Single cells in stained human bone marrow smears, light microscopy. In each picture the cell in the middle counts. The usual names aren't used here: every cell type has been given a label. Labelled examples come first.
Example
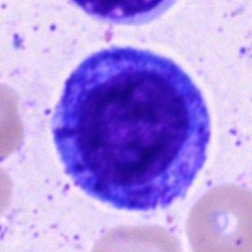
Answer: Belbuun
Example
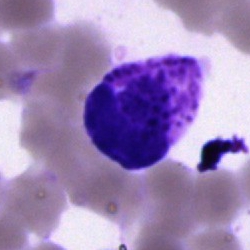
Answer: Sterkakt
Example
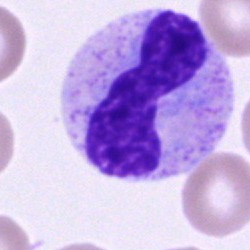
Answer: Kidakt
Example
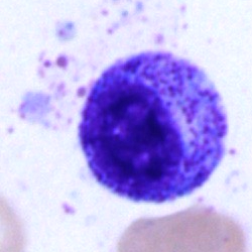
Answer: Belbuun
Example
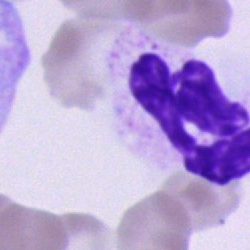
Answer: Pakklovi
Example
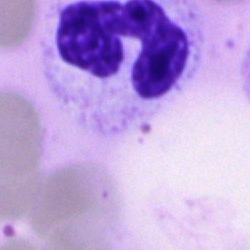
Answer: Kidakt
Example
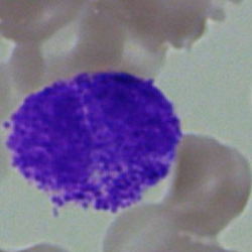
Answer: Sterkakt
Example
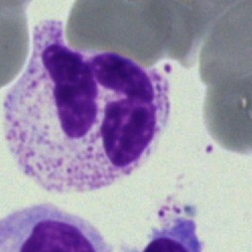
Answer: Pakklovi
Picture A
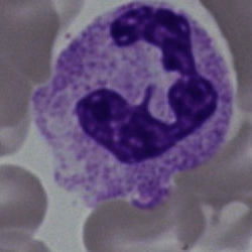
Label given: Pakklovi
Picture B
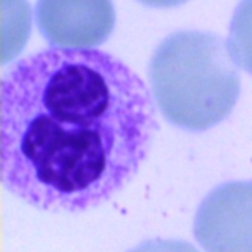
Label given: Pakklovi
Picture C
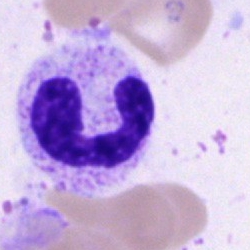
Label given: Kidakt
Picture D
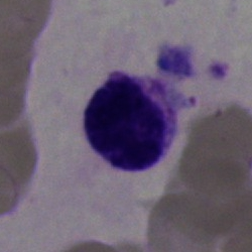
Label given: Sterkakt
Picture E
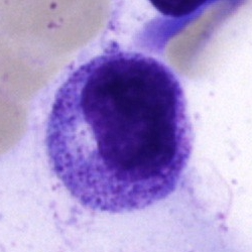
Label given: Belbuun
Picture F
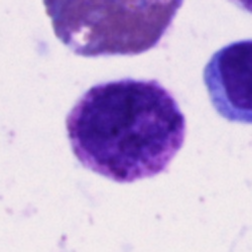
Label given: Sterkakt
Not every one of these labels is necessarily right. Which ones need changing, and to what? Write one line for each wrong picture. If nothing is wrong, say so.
Every label is right.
